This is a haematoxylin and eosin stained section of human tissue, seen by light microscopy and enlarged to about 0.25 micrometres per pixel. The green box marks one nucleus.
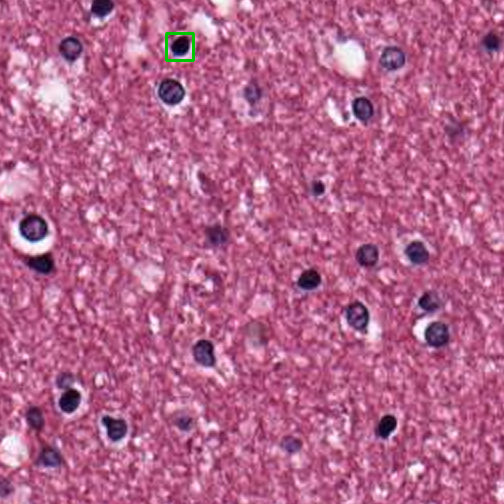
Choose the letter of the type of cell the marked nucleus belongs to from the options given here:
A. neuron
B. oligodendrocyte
B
